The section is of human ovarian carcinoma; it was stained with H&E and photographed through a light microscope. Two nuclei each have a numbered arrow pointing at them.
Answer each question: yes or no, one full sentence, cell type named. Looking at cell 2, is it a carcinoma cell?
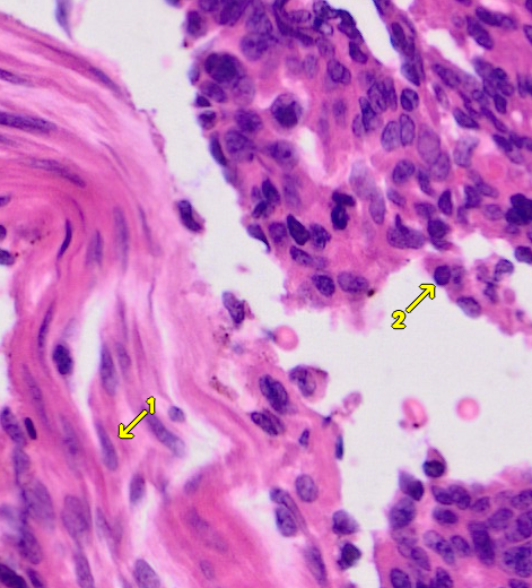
Yes, correct, the cell with the number 2 is a carcinoma cell.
